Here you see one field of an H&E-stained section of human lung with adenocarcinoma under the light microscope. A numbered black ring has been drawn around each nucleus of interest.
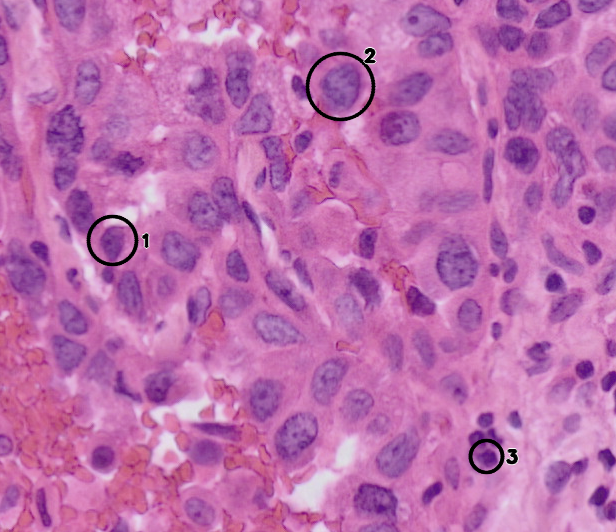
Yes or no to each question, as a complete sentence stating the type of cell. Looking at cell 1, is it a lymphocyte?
No, number 1 marks a carcinoma cell rather than a lymphocyte.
